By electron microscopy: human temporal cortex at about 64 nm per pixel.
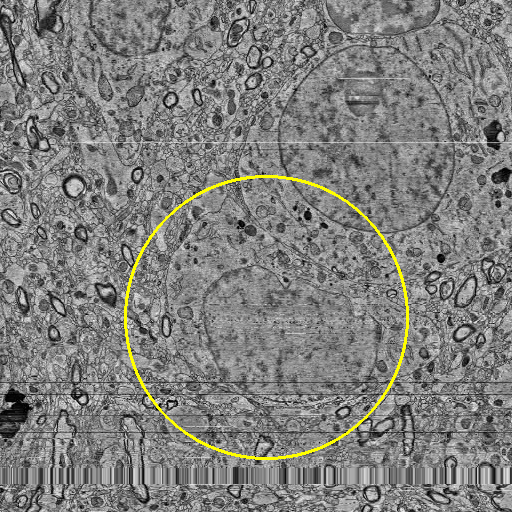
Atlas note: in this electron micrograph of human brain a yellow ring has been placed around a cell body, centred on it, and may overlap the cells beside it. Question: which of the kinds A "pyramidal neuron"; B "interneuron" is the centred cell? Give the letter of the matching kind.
B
